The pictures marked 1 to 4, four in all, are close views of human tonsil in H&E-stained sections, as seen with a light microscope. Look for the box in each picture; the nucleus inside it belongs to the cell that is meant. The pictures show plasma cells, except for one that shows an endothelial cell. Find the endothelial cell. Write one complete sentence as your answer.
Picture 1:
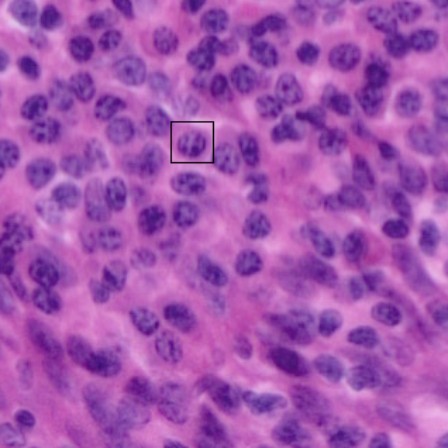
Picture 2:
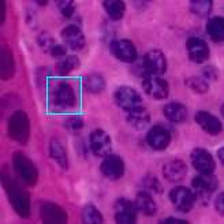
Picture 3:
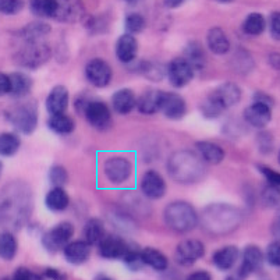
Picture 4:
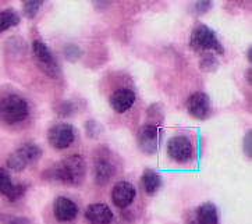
The endothelial cell is the one in picture 3.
